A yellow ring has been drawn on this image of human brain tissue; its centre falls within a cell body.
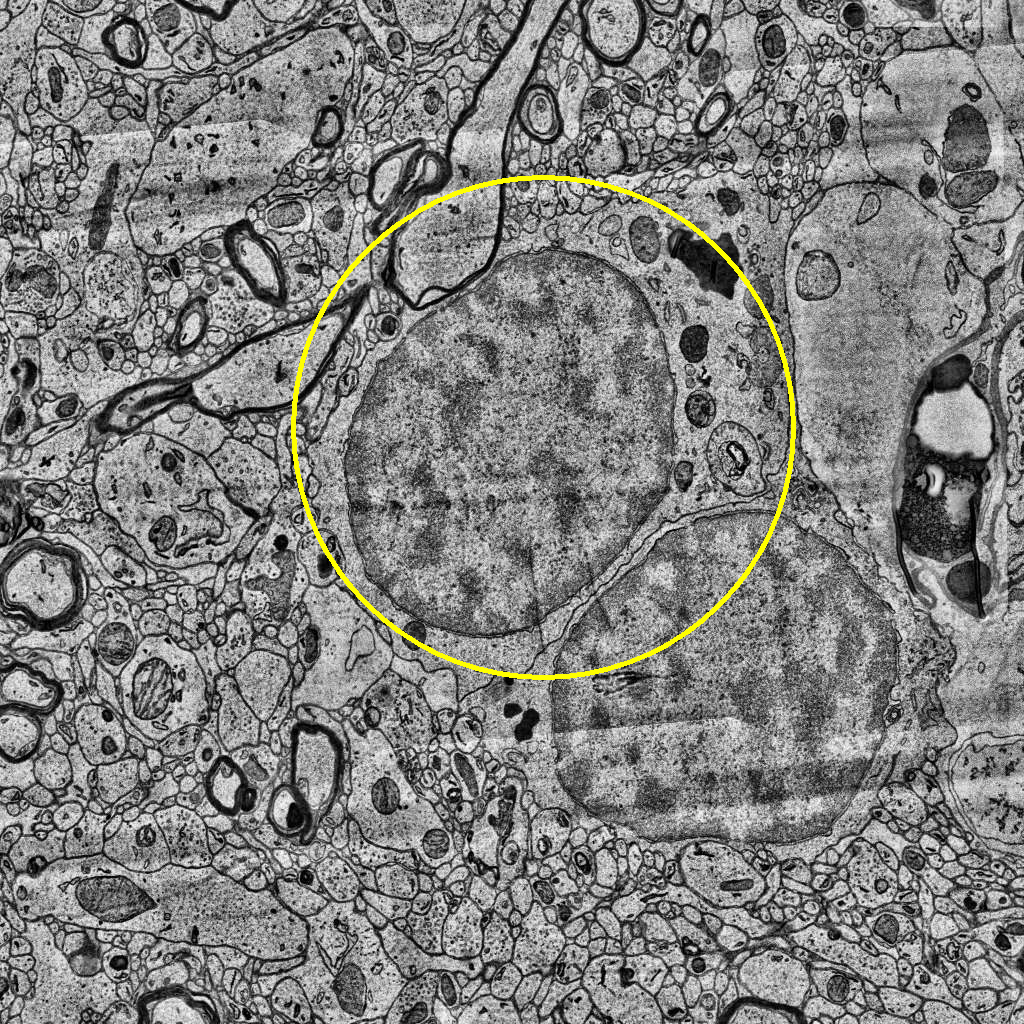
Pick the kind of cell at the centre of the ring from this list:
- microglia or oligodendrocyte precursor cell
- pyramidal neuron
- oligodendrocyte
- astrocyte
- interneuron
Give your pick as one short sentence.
The centre of the ring holds an oligodendrocyte.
